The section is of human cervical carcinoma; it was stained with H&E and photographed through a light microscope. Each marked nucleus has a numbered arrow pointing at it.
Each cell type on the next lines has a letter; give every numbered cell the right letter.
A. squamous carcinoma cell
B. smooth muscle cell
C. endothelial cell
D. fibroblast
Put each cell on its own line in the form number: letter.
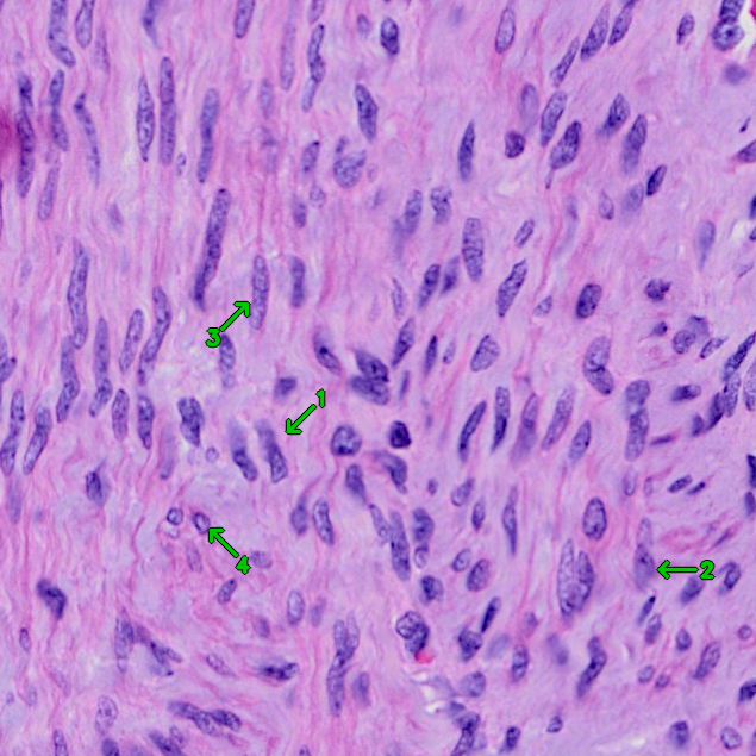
1: D
2: B
3: B
4: B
